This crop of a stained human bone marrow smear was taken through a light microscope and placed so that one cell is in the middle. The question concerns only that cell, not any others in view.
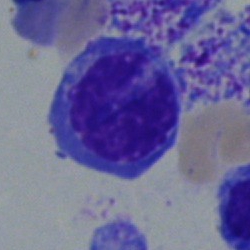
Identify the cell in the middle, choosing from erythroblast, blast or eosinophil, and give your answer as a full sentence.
Present in the middle of the crop is an erythroblast.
